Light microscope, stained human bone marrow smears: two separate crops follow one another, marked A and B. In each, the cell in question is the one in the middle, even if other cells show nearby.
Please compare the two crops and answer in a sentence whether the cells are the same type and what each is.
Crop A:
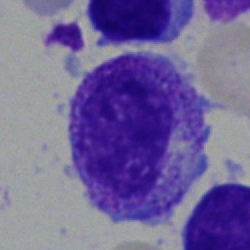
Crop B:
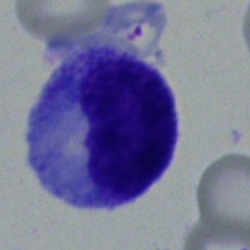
Yes, in the case of both crops, the central cells are myelocytes.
